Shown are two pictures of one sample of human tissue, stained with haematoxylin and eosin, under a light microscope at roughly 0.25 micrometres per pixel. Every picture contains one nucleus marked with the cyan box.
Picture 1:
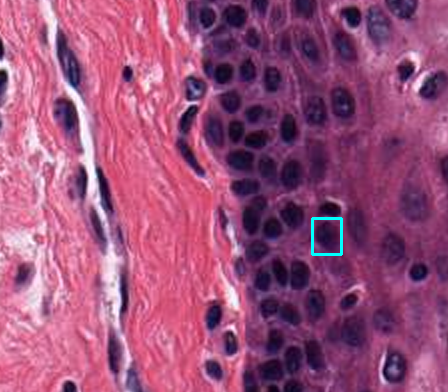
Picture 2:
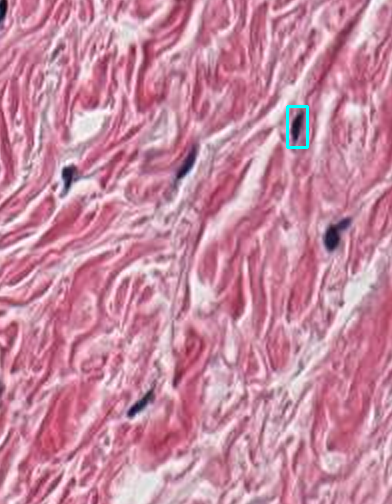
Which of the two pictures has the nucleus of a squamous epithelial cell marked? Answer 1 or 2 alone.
1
